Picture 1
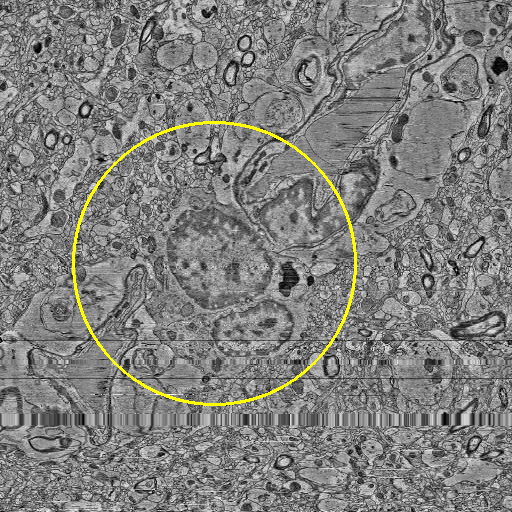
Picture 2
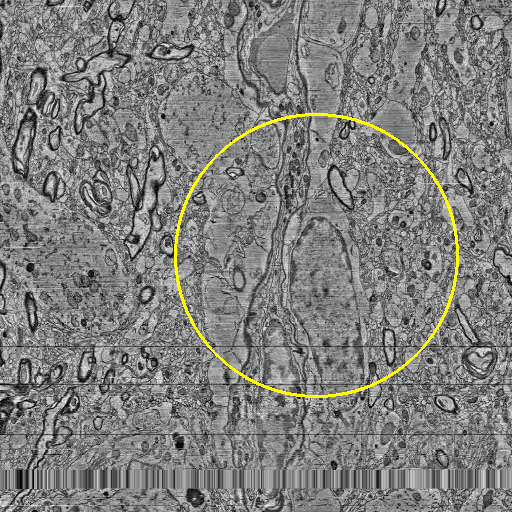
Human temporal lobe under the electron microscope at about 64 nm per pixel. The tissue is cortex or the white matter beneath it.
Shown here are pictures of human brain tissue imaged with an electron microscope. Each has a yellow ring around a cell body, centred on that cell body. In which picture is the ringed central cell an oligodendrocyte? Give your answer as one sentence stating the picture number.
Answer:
My answer is picture 1, where the ringed cell at the centre is the one sought.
